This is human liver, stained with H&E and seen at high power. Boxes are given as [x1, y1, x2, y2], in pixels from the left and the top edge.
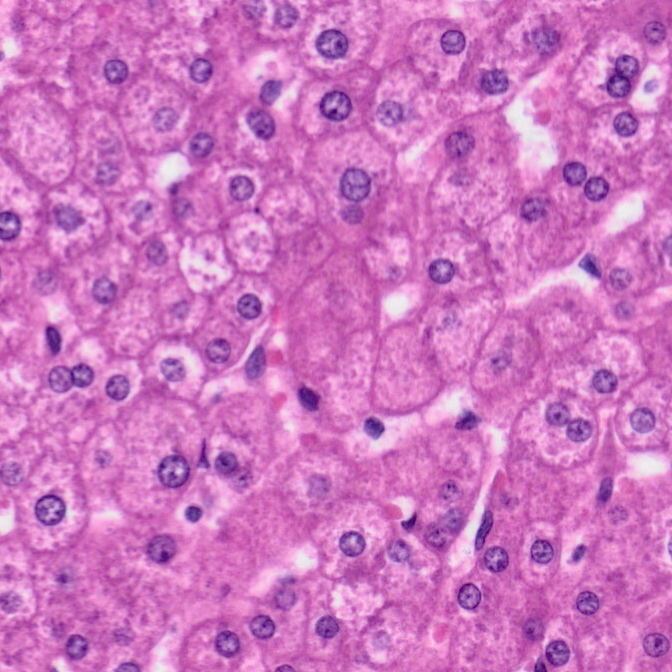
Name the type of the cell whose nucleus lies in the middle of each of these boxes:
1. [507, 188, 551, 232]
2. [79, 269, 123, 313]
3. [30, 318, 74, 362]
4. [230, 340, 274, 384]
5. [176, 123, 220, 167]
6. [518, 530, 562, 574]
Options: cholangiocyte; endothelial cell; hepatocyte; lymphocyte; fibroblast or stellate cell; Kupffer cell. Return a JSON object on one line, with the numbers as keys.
{"1": "hepatocyte", "2": "hepatocyte", "3": "Kupffer cell", "4": "Kupffer cell", "5": "hepatocyte", "6": "hepatocyte"}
